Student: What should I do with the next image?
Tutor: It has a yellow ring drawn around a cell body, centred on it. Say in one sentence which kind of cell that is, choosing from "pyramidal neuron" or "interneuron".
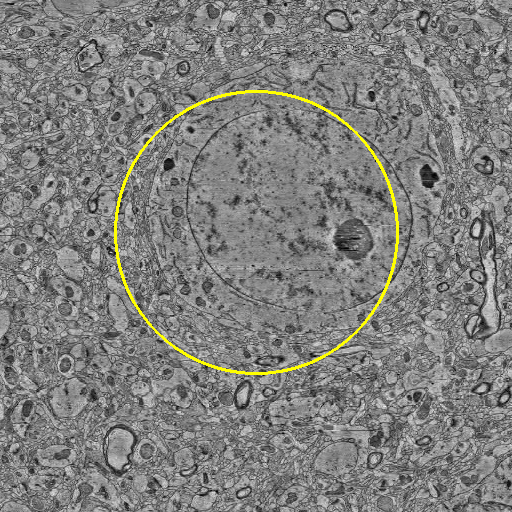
The ring's centre is occupied by a pyramidal neuron.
